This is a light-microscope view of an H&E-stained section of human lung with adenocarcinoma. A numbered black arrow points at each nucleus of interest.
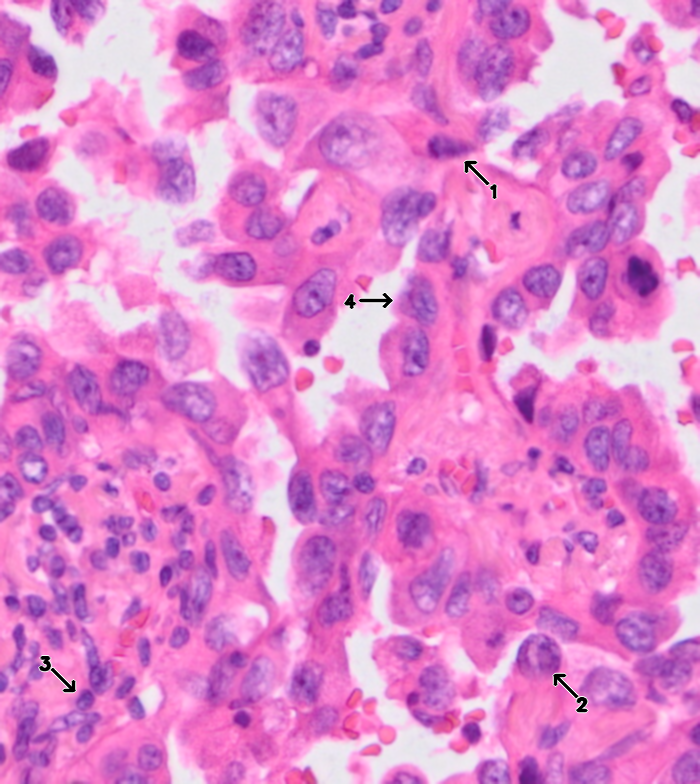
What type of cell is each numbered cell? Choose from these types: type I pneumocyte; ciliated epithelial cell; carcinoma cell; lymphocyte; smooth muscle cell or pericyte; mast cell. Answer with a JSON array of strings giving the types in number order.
["carcinoma cell", "carcinoma cell", "lymphocyte", "carcinoma cell"]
